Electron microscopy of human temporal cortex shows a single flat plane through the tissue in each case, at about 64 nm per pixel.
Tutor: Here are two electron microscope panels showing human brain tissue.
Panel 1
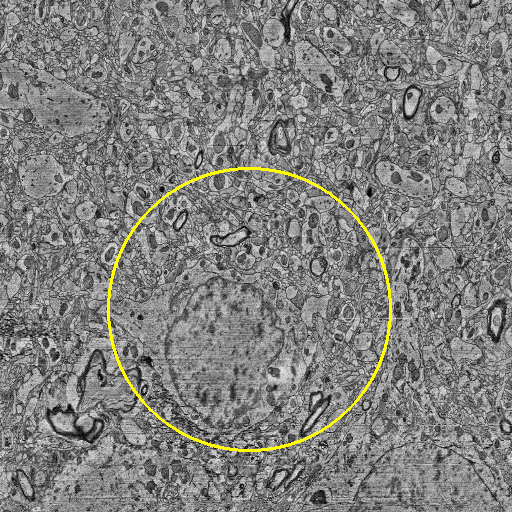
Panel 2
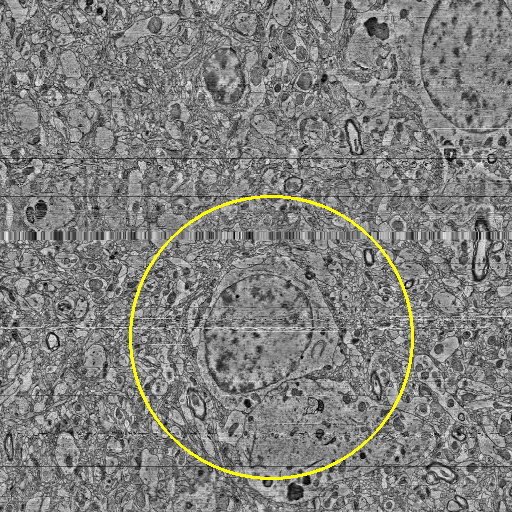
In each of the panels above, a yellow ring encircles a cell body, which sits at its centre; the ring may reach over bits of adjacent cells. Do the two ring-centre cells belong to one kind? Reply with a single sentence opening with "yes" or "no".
Yes, the two cells sitting at the ring centres in the panels belong to one kind.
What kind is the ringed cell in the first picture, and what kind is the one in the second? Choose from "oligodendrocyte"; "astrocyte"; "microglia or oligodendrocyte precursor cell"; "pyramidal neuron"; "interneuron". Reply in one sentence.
The ring centre holds an interneuron in each of the two pictures.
